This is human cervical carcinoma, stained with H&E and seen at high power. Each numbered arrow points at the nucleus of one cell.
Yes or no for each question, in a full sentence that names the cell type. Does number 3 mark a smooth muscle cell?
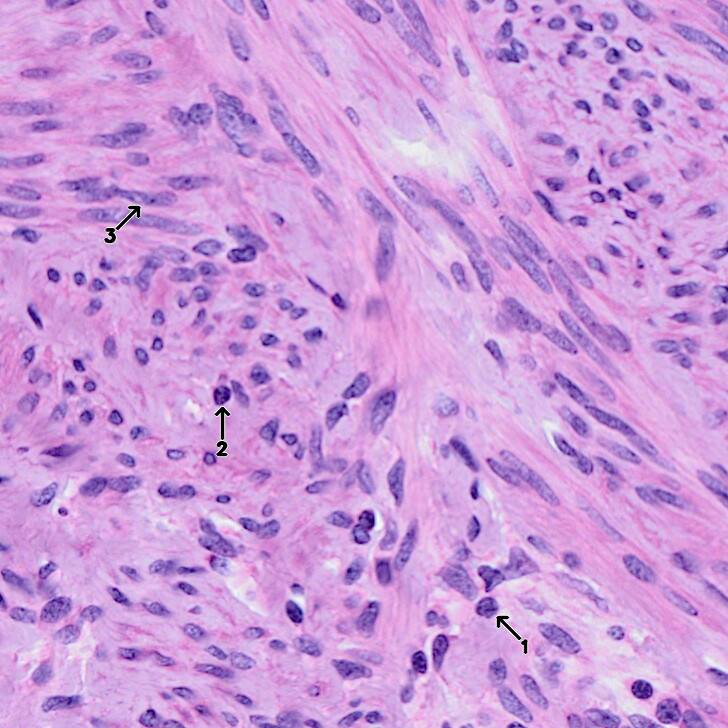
Yes, the cell sitting at number 3 is a smooth muscle cell.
